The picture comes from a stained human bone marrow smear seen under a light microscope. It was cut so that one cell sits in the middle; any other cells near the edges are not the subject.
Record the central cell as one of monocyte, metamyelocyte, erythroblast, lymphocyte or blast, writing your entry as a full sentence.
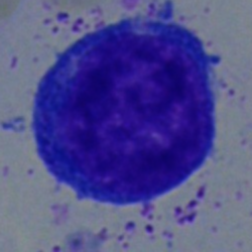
Occupying the centre of the crop is a blast.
